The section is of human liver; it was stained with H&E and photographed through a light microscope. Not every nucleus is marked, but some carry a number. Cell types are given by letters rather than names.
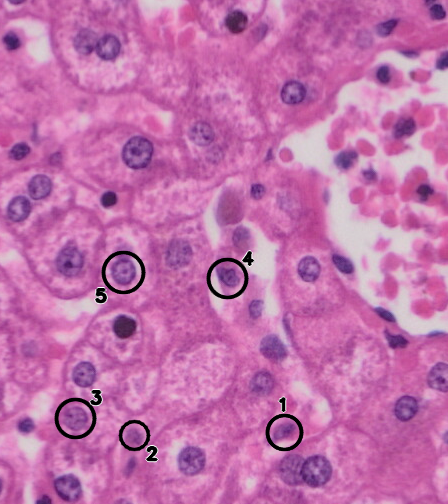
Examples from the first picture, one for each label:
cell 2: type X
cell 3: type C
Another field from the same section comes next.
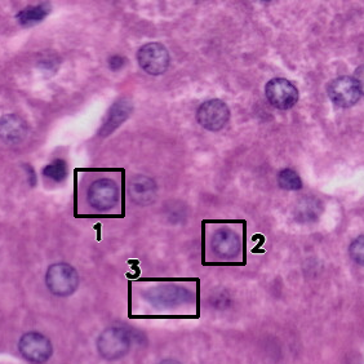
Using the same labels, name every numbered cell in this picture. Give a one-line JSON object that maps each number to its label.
{"1": "type C", "2": "type C", "3": "type X"}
